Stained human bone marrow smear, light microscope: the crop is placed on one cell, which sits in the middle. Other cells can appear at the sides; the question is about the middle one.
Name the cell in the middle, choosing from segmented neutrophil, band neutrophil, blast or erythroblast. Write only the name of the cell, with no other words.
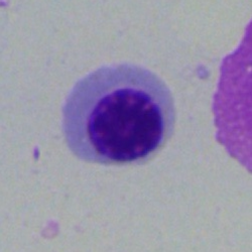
erythroblast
